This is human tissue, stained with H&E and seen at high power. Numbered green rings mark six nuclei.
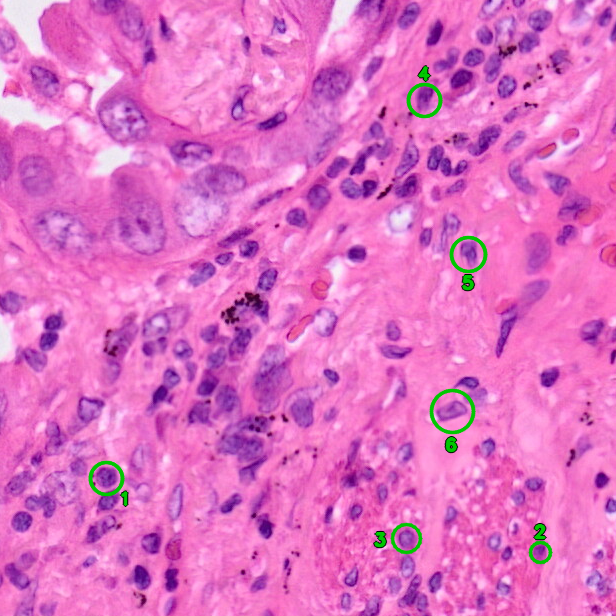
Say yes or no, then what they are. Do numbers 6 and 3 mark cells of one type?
No; cell 6 is a fibroblast, and cell 3 is a smooth muscle cell or pericyte.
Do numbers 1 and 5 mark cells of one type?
Yes, the two numbered cells, 1 and 5, are both lymphocytes.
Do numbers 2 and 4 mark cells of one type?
No, here cell 2 is a smooth muscle cell or pericyte, whereas cell 4 is a plasma cell.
